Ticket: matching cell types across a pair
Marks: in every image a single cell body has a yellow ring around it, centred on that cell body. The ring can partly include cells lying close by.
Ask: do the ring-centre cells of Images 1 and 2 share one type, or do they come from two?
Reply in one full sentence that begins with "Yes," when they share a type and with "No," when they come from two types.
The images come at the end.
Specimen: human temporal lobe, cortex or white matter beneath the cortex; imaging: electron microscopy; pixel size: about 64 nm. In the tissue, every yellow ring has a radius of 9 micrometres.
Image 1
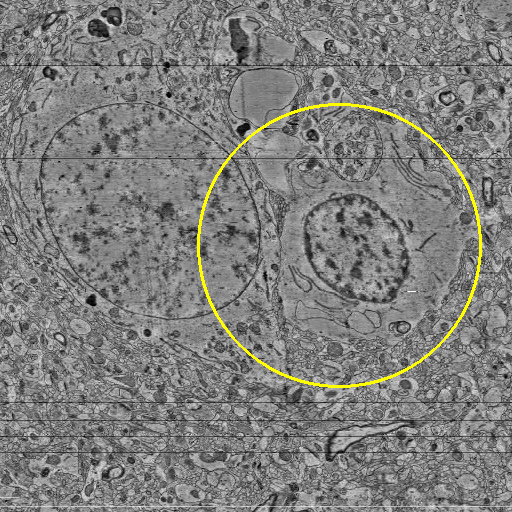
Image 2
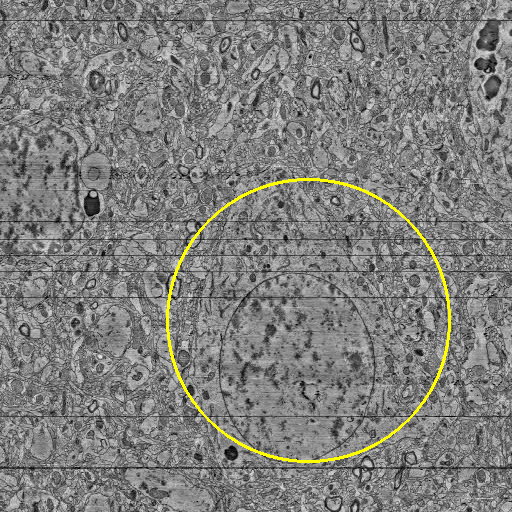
No, the cells in the centres of the rings in Image 1 and Image 2 come from two types.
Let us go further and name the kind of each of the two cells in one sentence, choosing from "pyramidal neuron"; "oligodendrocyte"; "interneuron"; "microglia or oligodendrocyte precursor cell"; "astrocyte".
The ring of the first picture is on an astrocyte, the ring of the second on a pyramidal neuron.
